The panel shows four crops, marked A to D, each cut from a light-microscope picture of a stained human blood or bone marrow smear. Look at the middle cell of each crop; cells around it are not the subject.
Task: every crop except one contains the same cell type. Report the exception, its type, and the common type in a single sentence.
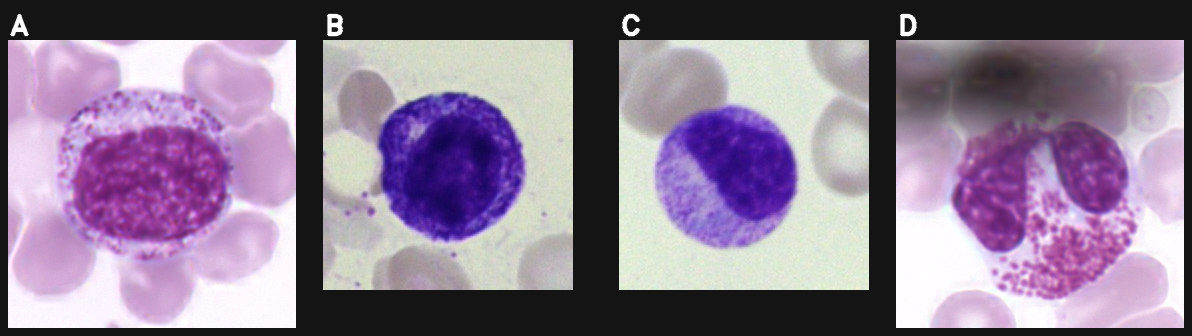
Of these crops, only crop D is an eosinophil; the others are myelocytes.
